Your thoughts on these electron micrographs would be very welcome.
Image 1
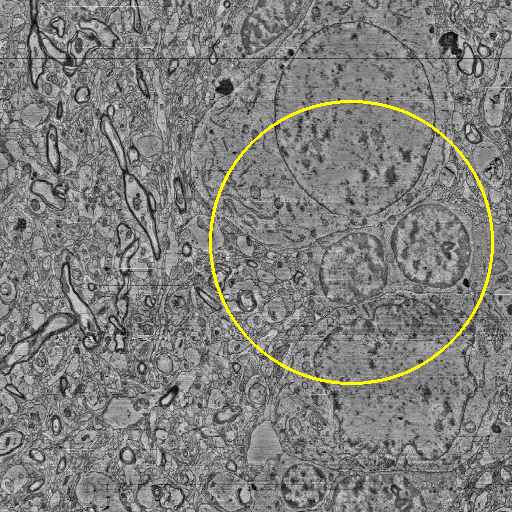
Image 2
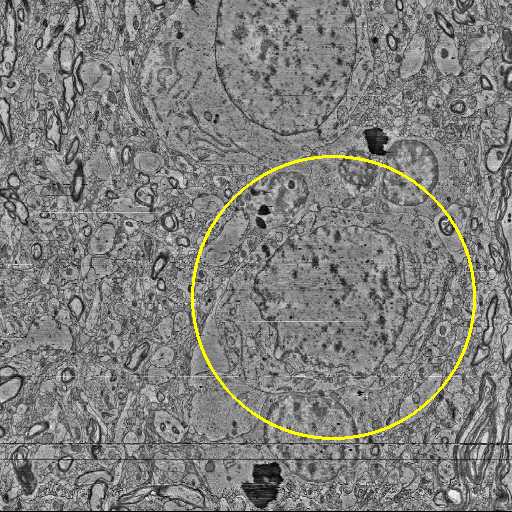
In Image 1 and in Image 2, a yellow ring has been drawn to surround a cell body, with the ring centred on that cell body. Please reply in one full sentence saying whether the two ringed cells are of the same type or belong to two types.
The ringed cells in Image 1 and Image 2 belong to two types.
